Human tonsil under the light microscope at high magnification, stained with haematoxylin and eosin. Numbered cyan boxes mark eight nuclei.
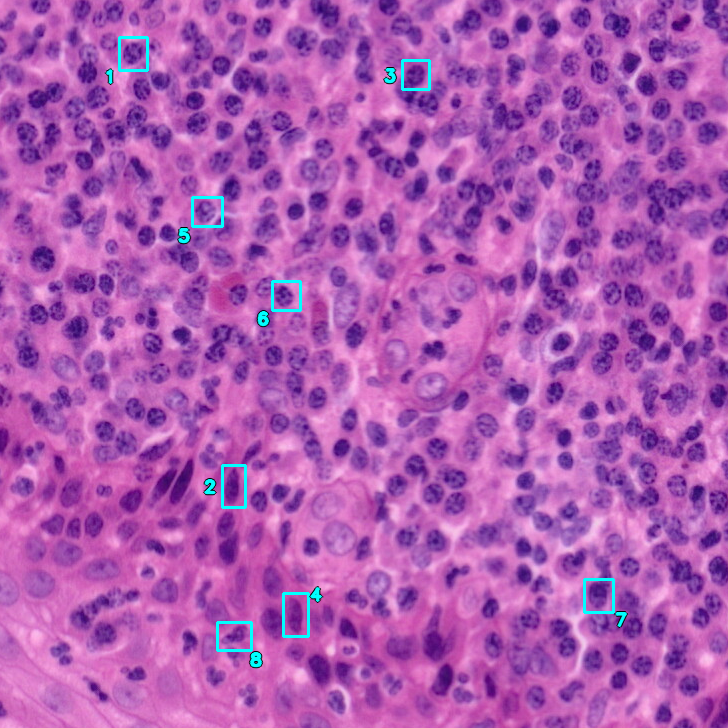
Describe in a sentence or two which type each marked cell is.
Cell 1 is a plasma cell, cell 2 is a squamous epithelial cell, cell 3 is a plasma cell, cell 4 is a squamous epithelial cell, cell 5 is a plasma cell, cell 6 is a plasma cell, cell 7 is a plasma cell and cell 8 is a squamous epithelial cell.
